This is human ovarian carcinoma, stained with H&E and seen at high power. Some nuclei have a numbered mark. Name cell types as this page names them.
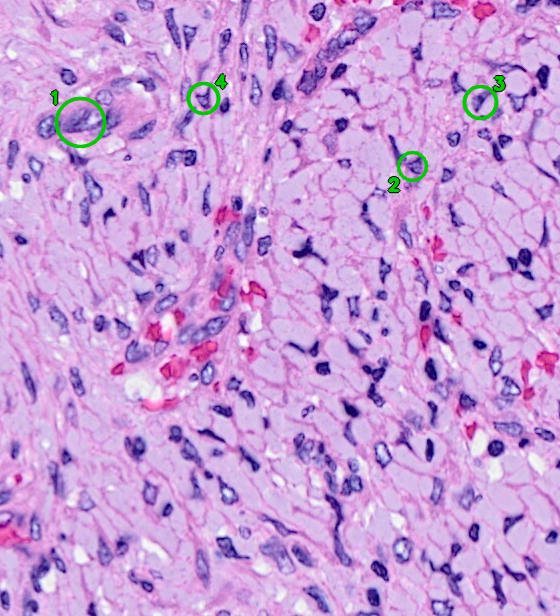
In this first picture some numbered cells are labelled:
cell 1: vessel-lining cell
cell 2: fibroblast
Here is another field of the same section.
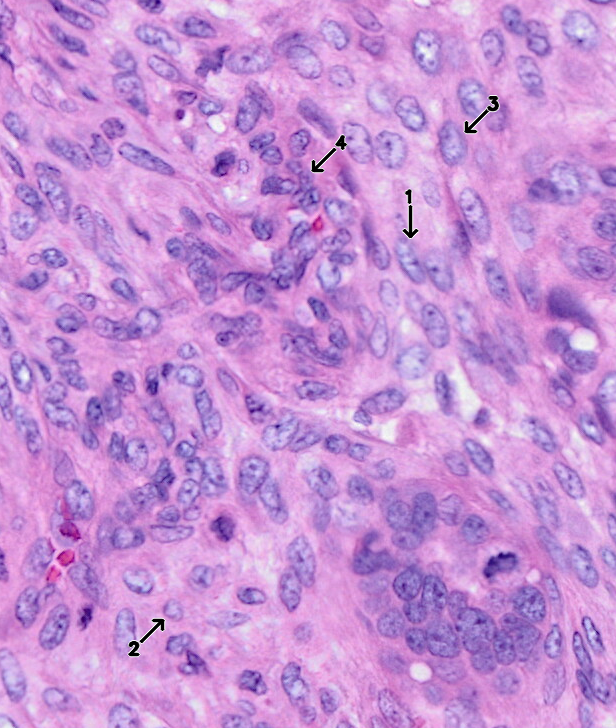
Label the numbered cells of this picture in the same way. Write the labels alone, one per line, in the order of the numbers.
fibroblast
fibroblast
fibroblast
vessel-lining cell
